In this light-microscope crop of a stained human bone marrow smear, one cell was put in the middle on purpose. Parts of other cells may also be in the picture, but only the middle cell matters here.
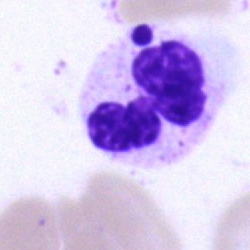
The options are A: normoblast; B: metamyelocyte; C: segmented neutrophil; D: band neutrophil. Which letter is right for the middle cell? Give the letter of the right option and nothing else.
C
